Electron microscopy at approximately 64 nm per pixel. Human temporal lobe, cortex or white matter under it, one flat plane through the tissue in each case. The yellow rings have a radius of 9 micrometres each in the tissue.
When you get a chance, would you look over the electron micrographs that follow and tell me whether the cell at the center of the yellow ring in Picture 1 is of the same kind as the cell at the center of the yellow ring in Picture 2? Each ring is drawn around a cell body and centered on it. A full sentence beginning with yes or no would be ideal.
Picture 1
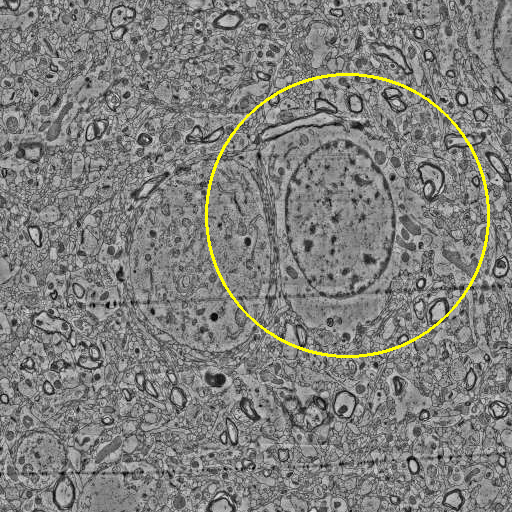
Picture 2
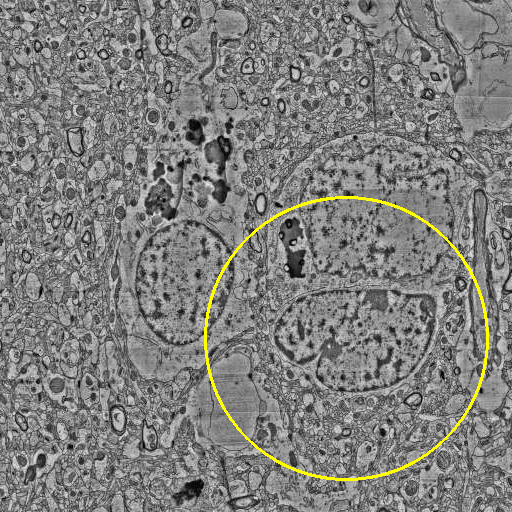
Yes, the two cells are of the same kind.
